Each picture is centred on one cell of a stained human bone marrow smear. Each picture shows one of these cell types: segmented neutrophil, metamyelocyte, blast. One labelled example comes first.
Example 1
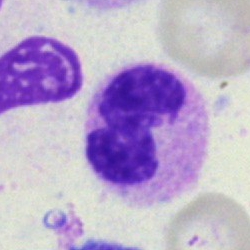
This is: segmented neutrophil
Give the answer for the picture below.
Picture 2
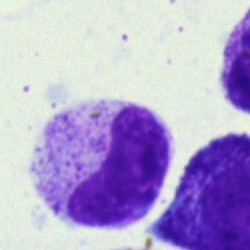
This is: metamyelocyte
